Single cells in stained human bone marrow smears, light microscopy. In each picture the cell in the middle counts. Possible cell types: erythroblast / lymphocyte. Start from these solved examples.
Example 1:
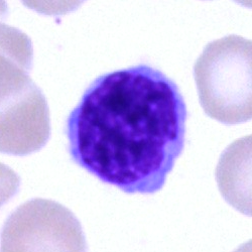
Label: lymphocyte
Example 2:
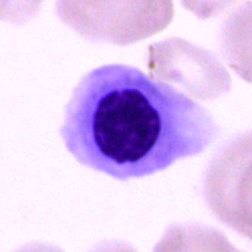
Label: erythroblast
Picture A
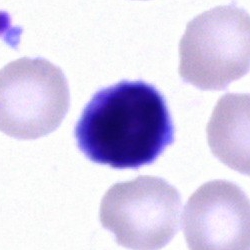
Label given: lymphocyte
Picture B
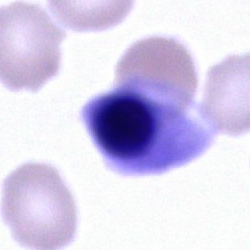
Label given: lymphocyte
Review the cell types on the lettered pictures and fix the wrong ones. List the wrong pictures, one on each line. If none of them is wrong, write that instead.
B: erythroblast, not lymphocyte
